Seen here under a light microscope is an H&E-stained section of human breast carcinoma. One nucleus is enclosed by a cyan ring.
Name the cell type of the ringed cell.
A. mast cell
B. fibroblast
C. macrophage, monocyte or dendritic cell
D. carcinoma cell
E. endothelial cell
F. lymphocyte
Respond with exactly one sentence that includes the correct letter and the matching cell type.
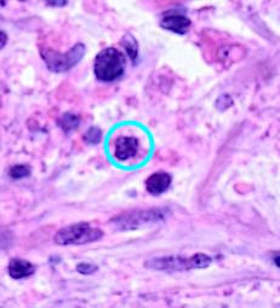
The choice that fits is option F, as the ringed cell is a lymphocyte.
